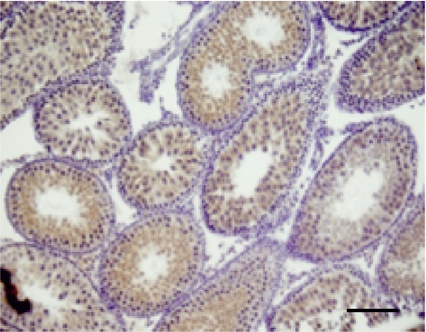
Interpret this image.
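This section of testis shows closely packed seminiferous tubules, round, oval or elongated depending on the plane of the cut. The epithelium carries a widespread brown stain, strongest in the middle and inner layers. A thin rim of flatter cells bounds each tubule, and narrow strips of interstitial tissue with small cells lie between neighbouring tubules.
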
